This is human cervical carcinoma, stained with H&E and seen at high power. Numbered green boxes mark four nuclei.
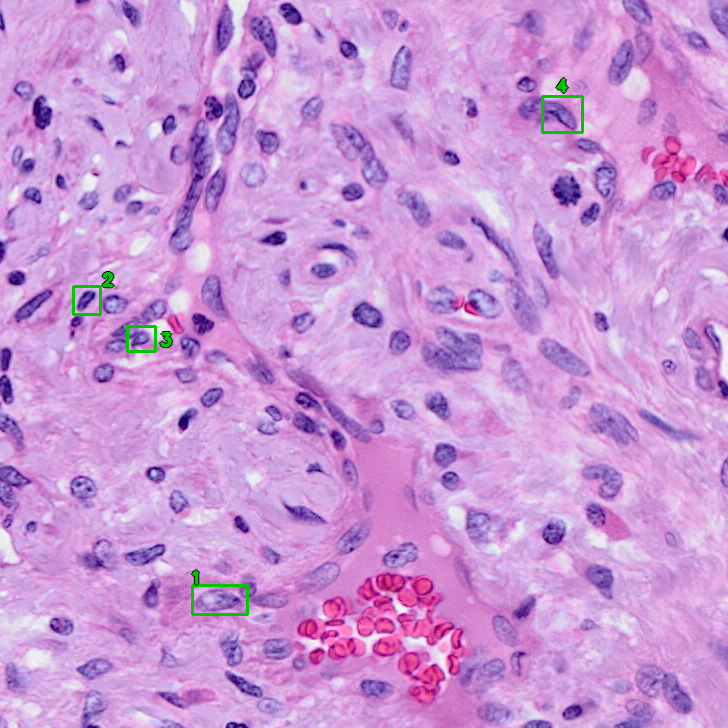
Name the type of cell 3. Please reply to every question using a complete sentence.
Cell 3 of the marked set is an endothelial cell.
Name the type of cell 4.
Heads up, the cell numbered 4 is an endothelial cell.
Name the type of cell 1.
The cell that bears the number 1 is an endothelial cell.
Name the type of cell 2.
In the tissue shown, cell 2 is a lymphocyte.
